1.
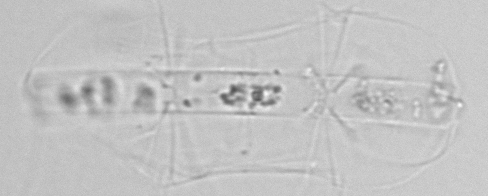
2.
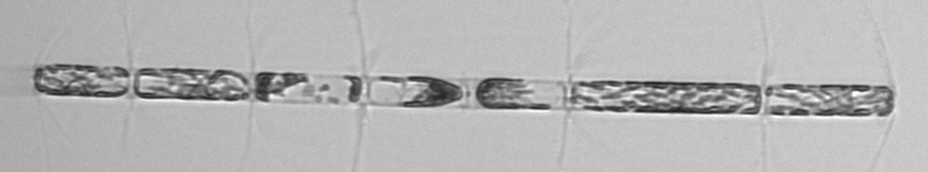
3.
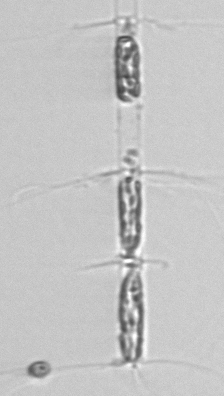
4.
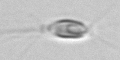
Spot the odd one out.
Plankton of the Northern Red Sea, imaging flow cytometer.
Picture 4 (Chrysochromulina parkeae among Bacteriastrum furcatum).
